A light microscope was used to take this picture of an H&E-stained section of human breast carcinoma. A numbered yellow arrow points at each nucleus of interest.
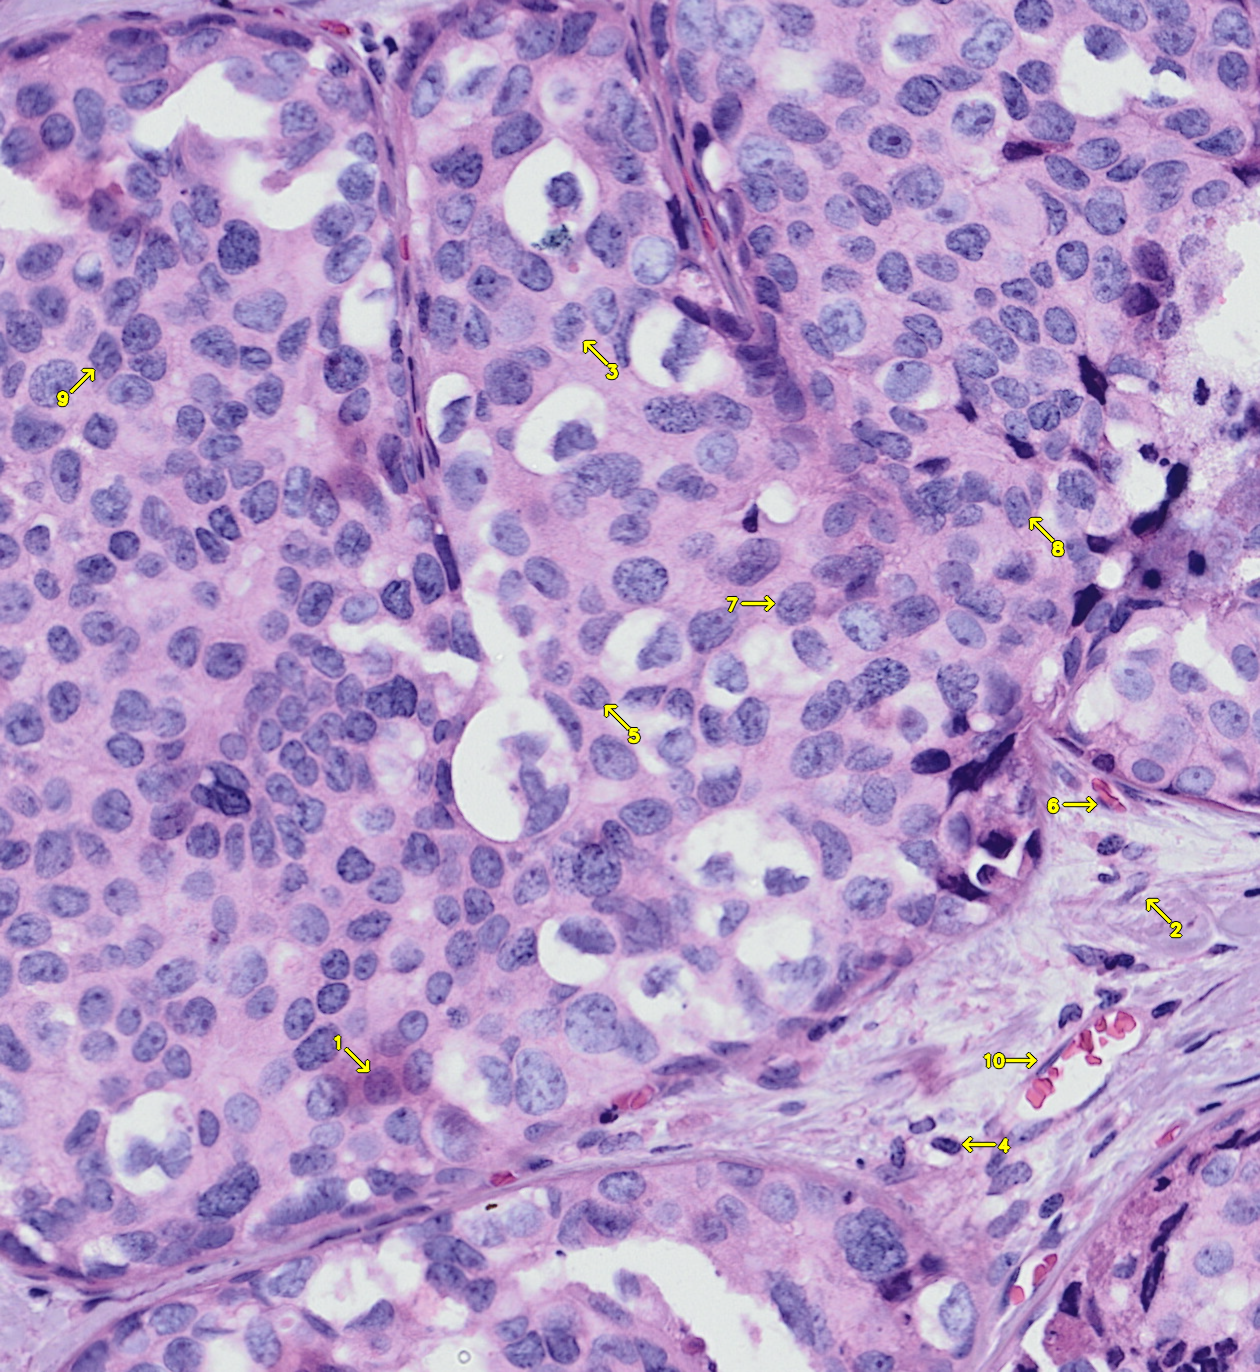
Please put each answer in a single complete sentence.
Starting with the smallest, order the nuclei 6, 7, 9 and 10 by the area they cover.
Smallest first, the nuclei run 6, 10, 9, 7.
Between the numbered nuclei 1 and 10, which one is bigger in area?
Of the two, number 1 is bigger and takes up about 4 times the area of number 10.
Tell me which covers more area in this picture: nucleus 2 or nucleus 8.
Number 8 is larger; its area is about 2 times that of number 2.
